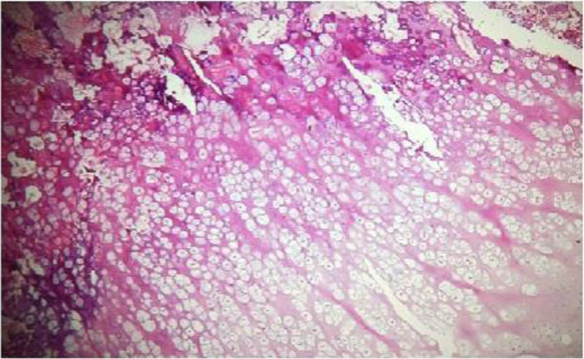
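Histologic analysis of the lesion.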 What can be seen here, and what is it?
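Numerous small round cells lie each in a clear lacuna within a pink matrix, grouped in clusters and rough columns. Toward the upper left the matrix is more deeply stained, red and purple, with cleft-like spaces. These are chondrocytes clustered in a cartilaginous matrix.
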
